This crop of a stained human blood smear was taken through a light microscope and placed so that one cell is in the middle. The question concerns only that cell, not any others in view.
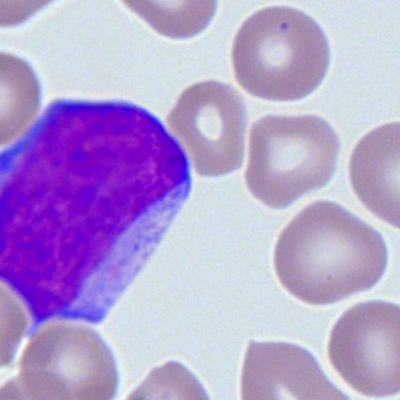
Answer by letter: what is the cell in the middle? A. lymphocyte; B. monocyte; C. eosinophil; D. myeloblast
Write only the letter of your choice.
D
